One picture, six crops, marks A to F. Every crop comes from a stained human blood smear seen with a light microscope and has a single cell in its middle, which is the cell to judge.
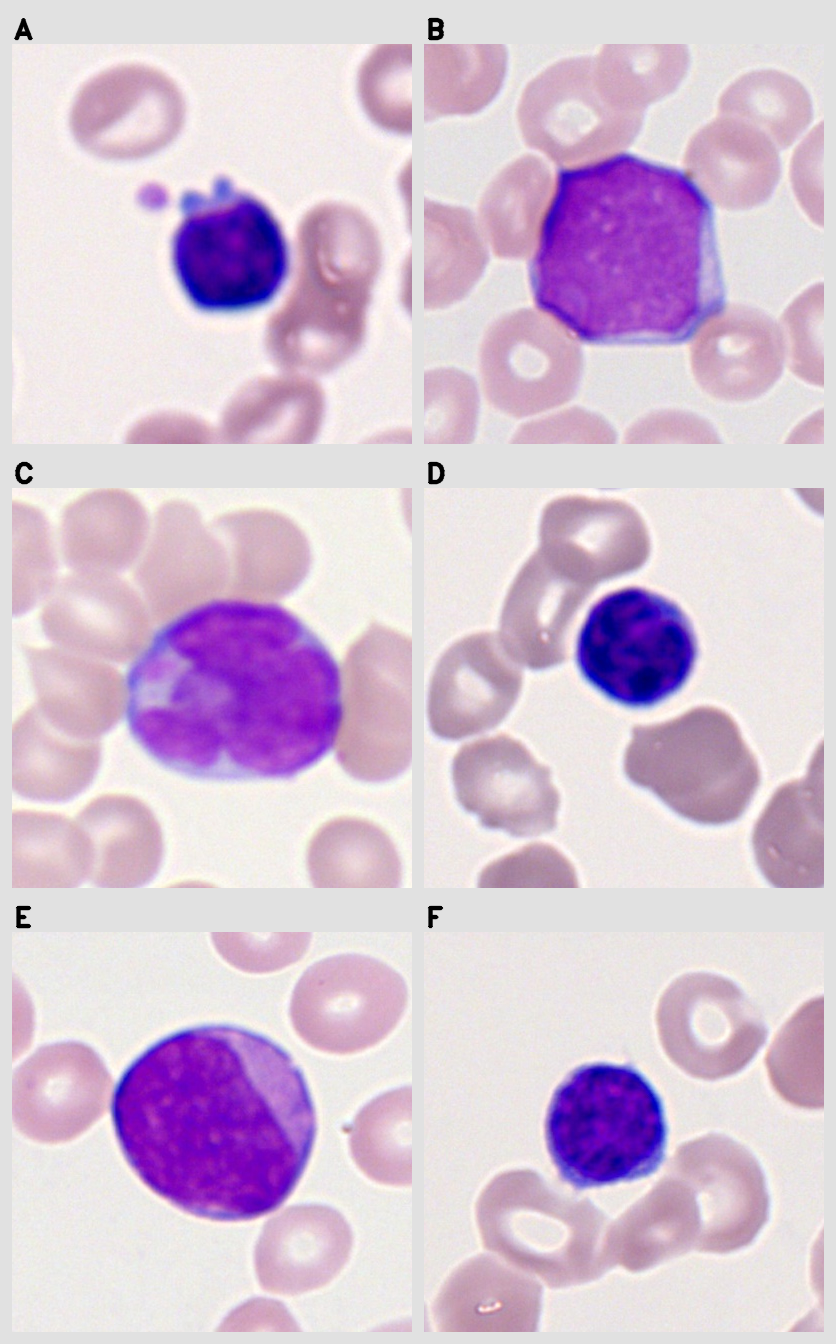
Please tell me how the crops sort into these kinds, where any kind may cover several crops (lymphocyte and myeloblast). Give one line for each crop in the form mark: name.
A: lymphocyte
B: myeloblast
C: myeloblast
D: lymphocyte
E: myeloblast
F: lymphocyte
